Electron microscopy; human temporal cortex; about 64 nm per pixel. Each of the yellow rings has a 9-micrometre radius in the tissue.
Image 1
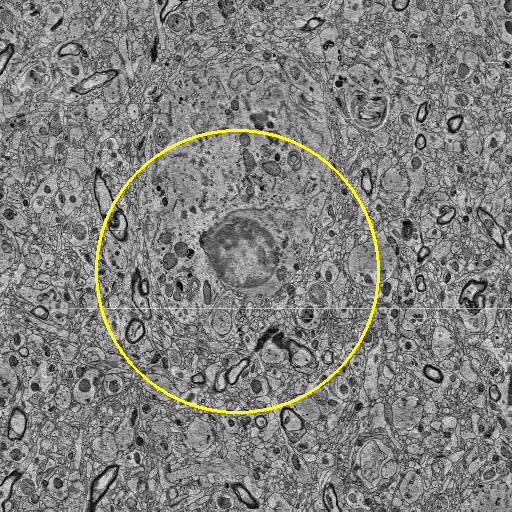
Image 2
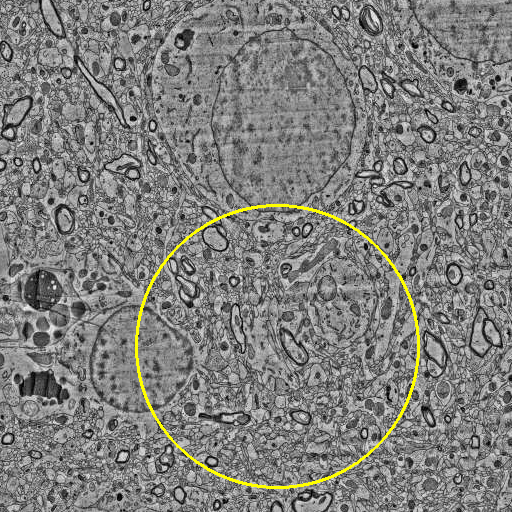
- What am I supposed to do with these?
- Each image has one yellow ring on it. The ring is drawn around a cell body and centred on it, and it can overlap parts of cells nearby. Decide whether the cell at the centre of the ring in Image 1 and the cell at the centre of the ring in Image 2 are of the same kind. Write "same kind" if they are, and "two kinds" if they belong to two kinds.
same kind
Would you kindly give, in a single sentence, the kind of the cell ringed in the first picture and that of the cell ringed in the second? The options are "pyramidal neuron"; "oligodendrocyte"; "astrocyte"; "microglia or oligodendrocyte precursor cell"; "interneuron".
Each of the ringed cells, first and second, is an oligodendrocyte.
